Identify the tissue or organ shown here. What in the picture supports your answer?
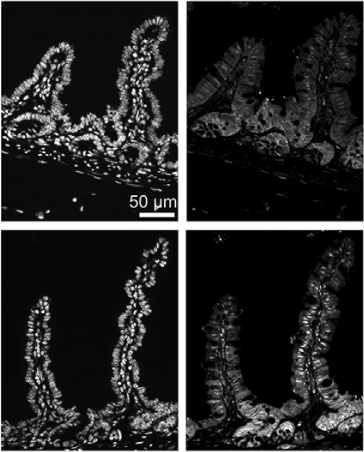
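Finger-like projections rise from a basal tissue layer. Each projection is lined by a single row of tall epithelial cells with elongated nuclei. A narrow core of loosely arranged cells runs up the middle of each projection.
Conclusion: small intestinal villi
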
